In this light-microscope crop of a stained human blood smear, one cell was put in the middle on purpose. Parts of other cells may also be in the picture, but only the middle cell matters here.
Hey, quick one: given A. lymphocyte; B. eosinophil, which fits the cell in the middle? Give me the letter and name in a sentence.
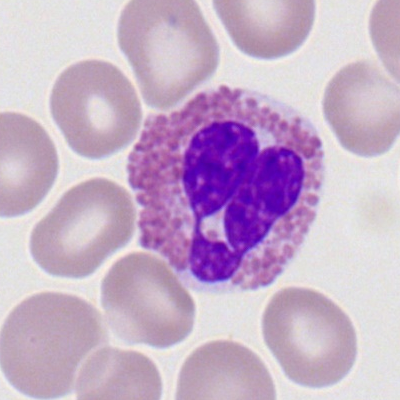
That cell in the center is an eosinophil, hence option B.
